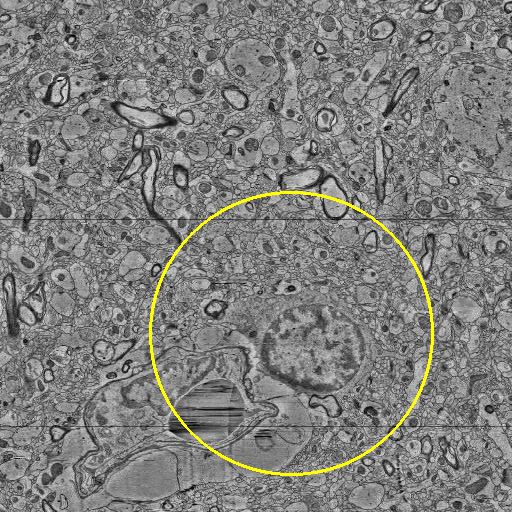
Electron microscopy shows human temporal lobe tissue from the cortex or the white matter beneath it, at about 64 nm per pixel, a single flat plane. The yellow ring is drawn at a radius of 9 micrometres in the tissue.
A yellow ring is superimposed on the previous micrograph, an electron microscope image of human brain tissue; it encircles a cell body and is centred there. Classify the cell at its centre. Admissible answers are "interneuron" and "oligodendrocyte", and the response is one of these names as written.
oligodendrocyte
